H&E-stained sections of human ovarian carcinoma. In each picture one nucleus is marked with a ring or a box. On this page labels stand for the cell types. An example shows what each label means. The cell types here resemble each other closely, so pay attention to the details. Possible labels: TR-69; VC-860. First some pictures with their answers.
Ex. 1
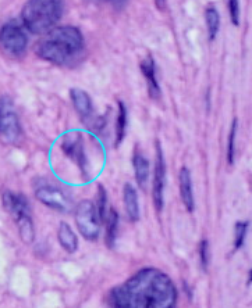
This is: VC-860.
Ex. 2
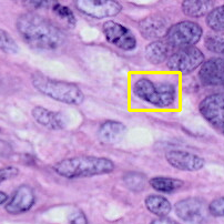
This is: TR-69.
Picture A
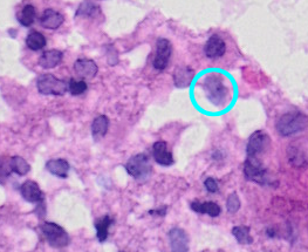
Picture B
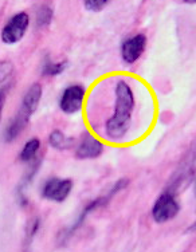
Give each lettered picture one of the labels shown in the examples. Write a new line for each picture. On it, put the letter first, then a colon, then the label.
A: TR-69.
B: TR-69.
